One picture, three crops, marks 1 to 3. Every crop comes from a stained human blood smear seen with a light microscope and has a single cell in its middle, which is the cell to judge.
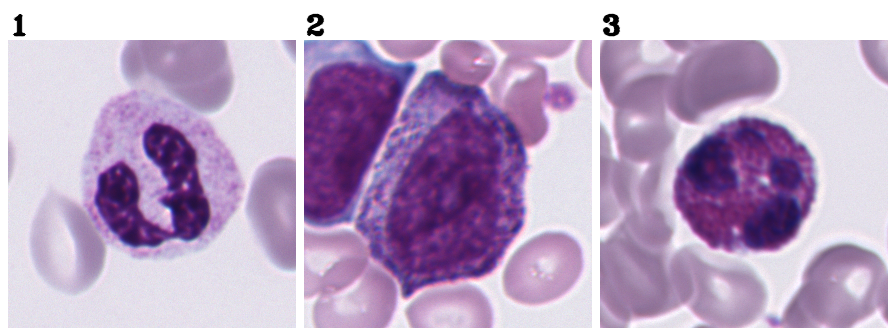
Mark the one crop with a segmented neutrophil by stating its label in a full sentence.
Here the crop that shows a segmented neutrophil is crop 1.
